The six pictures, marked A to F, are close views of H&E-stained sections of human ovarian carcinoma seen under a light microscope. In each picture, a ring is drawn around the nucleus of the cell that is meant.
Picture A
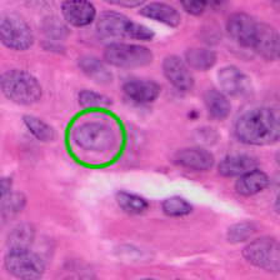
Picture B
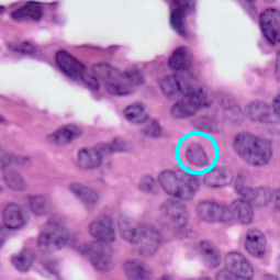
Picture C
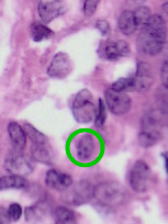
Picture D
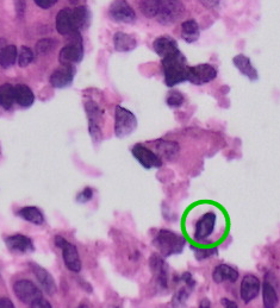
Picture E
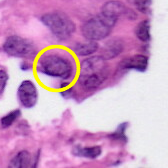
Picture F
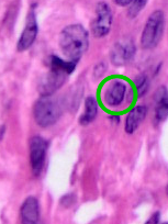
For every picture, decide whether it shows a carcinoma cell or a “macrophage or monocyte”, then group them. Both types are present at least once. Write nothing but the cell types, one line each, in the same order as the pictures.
carcinoma cell
macrophage or monocyte
macrophage or monocyte
carcinoma cell
carcinoma cell
macrophage or monocyte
